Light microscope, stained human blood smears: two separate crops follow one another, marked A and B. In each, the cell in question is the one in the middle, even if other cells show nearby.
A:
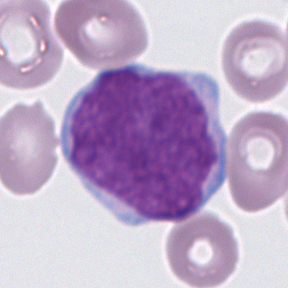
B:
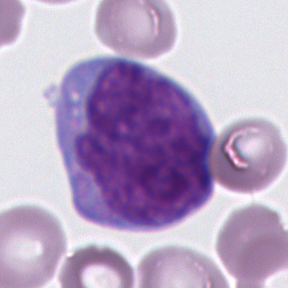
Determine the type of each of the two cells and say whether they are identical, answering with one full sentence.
No, what crop A shows is a myeloblast, and what crop B shows is an atypical promyelocyte.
